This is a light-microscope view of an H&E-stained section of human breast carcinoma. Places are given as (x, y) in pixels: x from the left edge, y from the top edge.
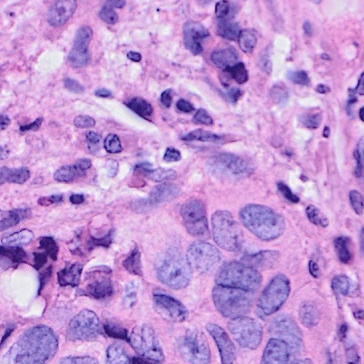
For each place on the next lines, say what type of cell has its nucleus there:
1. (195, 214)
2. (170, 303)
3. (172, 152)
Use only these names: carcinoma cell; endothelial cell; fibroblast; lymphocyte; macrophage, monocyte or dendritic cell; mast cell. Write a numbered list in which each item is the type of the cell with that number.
1. carcinoma cell
2. carcinoma cell
3. lymphocyte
